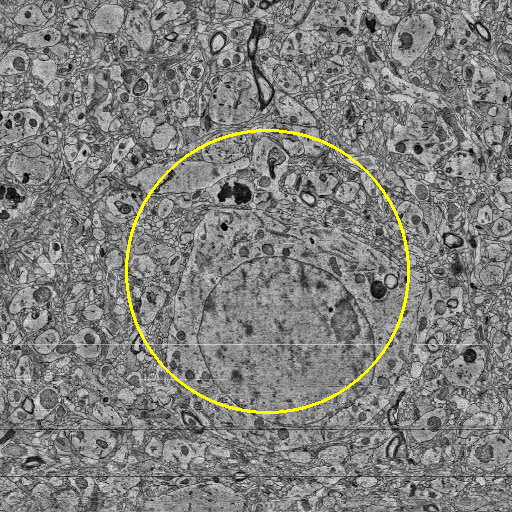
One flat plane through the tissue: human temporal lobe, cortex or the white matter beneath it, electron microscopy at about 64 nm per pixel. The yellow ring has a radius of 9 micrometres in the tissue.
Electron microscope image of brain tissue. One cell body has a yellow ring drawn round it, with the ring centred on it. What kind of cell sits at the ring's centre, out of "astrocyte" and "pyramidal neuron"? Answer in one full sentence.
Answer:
It is a pyramidal neuron whose cell body sits at the centre of the yellow ring.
